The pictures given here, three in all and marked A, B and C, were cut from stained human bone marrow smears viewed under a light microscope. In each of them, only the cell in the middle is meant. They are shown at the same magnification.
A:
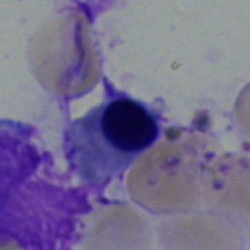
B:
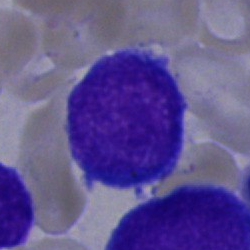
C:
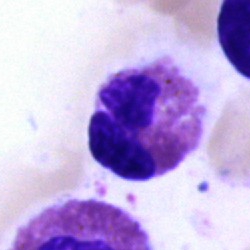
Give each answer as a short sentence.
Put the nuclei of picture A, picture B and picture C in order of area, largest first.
Going down, they run B, C, A.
